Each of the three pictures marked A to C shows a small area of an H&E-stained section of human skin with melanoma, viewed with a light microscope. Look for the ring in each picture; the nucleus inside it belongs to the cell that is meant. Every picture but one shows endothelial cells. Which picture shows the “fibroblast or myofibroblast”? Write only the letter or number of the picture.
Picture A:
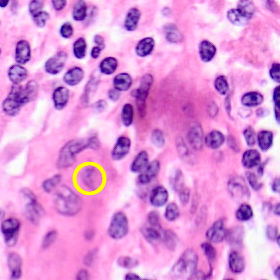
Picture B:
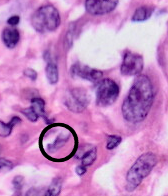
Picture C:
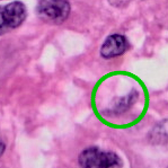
C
